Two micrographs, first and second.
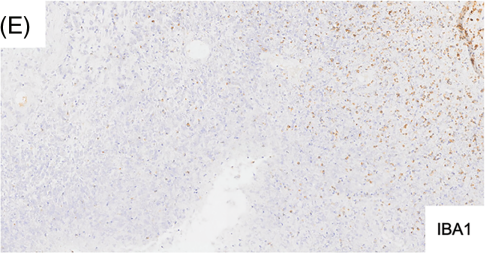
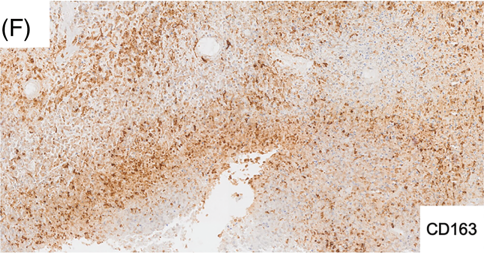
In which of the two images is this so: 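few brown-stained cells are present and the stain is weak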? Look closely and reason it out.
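The first image. Second image: dense brown stain over broad bands of the tissue with many stained cells. First image: mostly blue tissue with only sparse, faint brown-stained cells.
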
